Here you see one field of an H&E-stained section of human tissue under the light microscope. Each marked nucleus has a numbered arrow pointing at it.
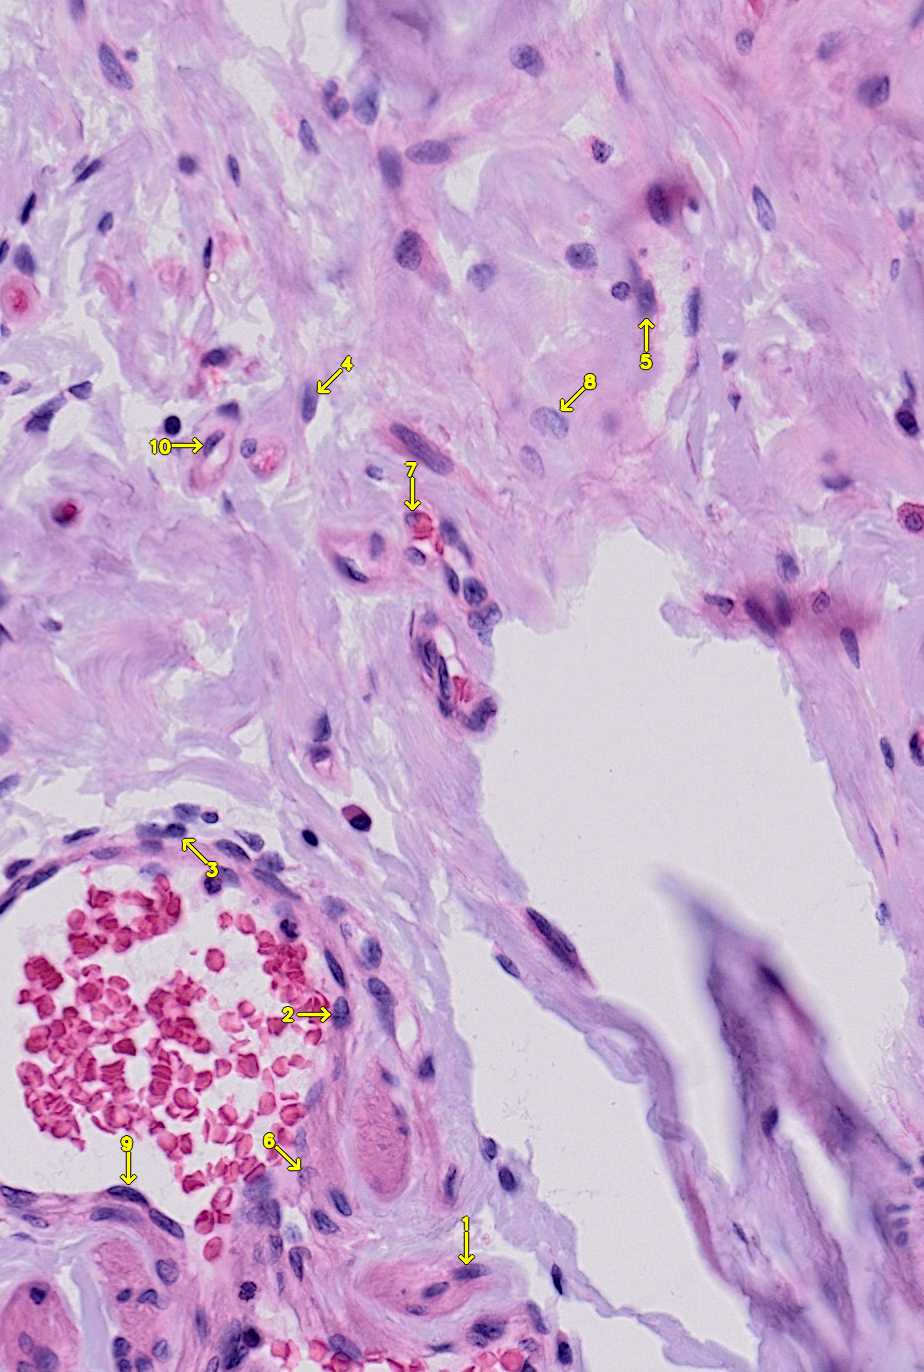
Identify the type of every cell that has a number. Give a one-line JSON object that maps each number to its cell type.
{"1": "smooth muscle cell", "2": "endothelial cell", "3": "lymphocyte", "4": "fibroblast", "5": "endothelial cell", "6": "endothelial cell", "7": "endothelial cell", "8": "fibroblast", "9": "endothelial cell", "10": "endothelial cell"}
